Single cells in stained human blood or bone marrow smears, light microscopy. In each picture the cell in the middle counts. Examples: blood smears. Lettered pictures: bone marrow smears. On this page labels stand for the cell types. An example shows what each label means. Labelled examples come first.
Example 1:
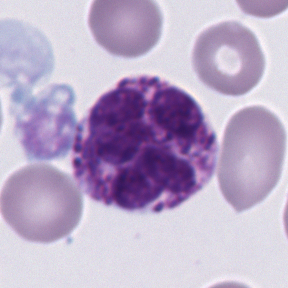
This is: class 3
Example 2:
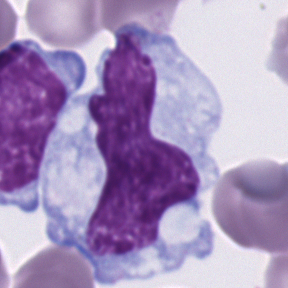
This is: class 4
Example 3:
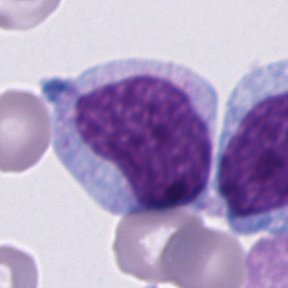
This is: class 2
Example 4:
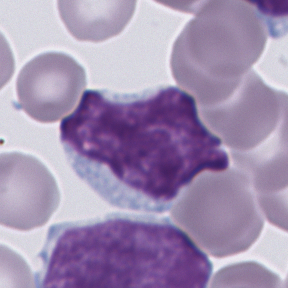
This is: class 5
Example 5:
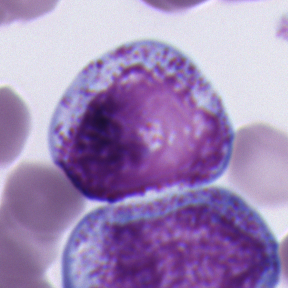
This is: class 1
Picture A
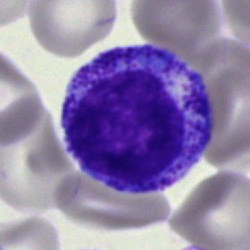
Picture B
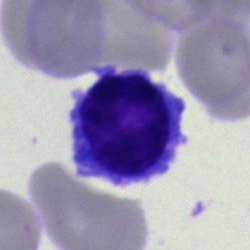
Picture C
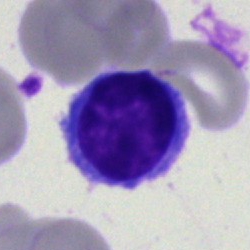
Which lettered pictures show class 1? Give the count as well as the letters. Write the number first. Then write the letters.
1, namely A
